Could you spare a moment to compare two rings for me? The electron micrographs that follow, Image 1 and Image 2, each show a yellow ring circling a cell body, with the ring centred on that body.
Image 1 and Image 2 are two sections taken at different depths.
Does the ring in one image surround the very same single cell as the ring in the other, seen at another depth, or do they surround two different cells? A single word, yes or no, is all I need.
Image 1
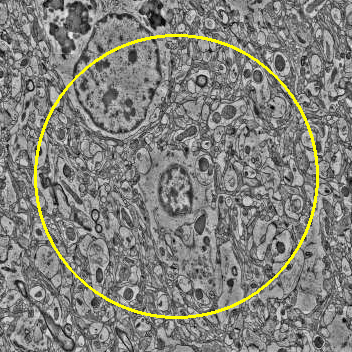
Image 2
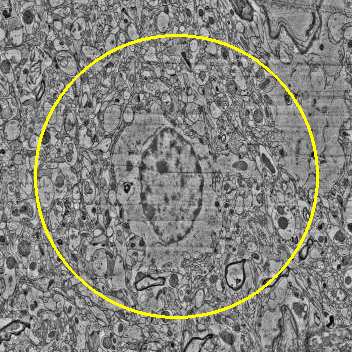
no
